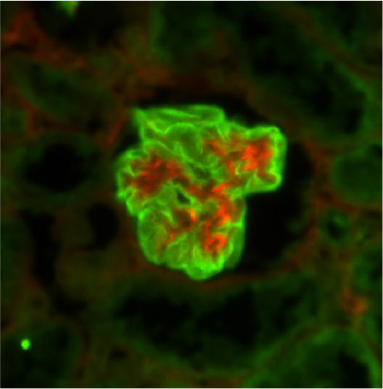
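This is a renal glomerulus in a kidney section, seen as a compact lobulated tuft of capillary loops. Thin continuous green lines trace the outer edges of the loops, following the folded contour of the tuft. Red to orange patches sit within the tuft, more central to the loops than the green lines, so the two colours lie mostly side by side rather than on top of each other. Around the glomerulus a dark space separates it from surrounding tubules, whose outlines appear only faintly.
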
